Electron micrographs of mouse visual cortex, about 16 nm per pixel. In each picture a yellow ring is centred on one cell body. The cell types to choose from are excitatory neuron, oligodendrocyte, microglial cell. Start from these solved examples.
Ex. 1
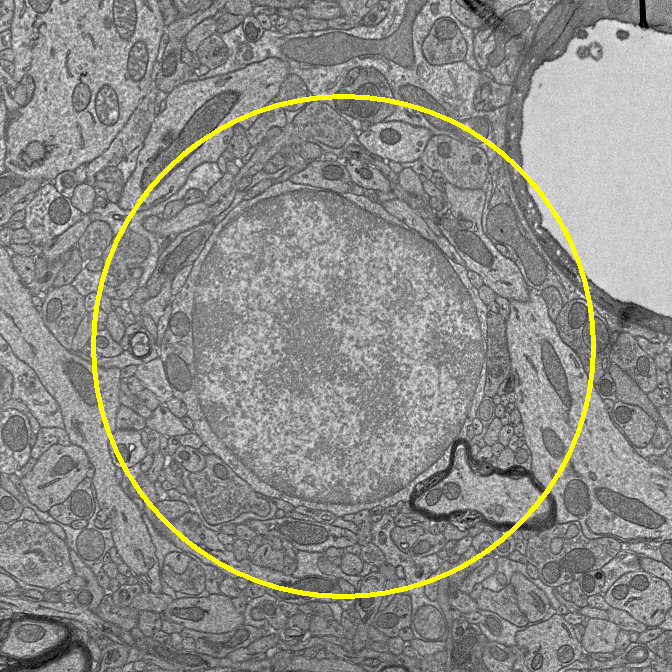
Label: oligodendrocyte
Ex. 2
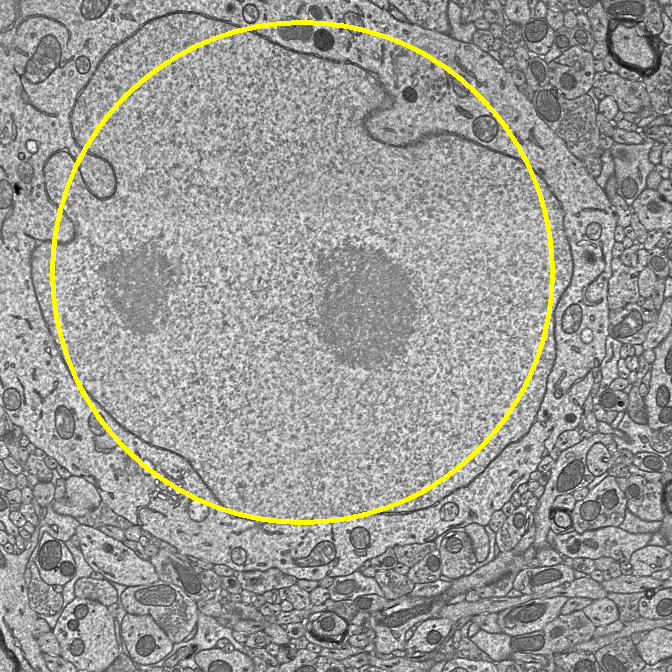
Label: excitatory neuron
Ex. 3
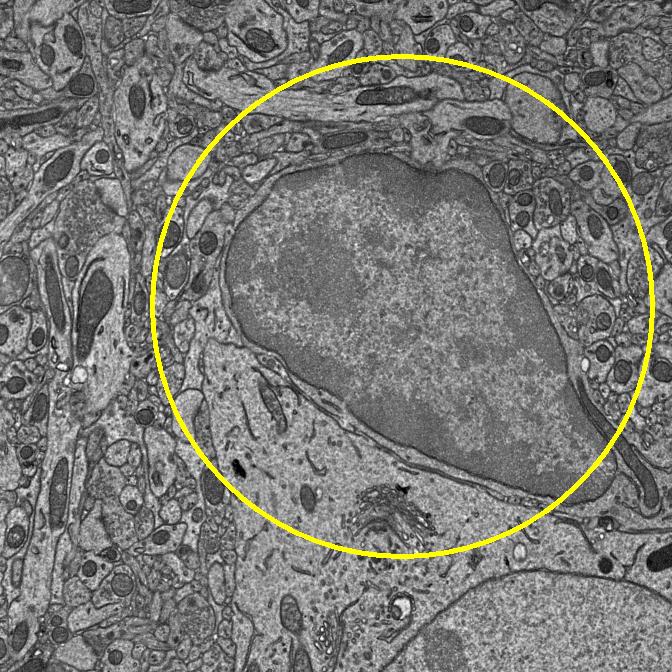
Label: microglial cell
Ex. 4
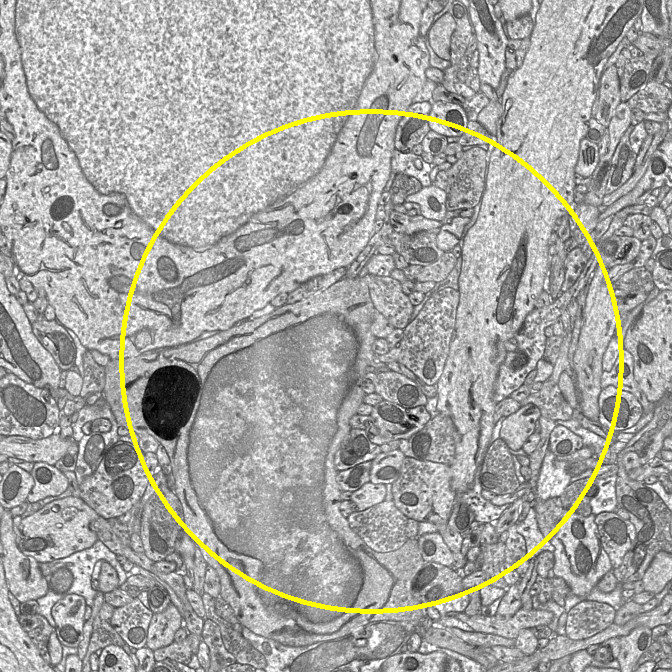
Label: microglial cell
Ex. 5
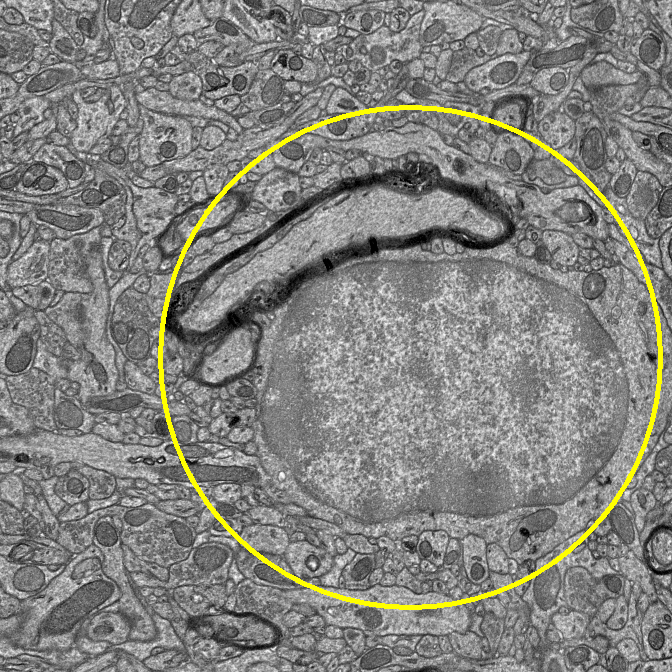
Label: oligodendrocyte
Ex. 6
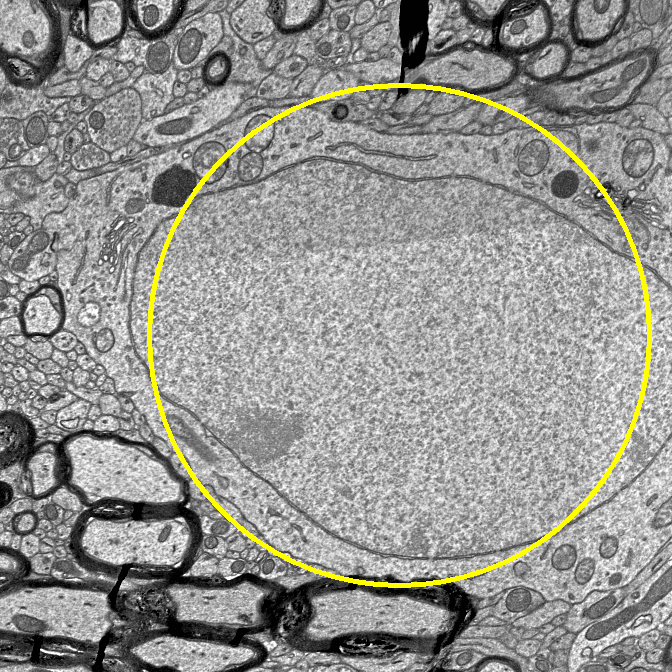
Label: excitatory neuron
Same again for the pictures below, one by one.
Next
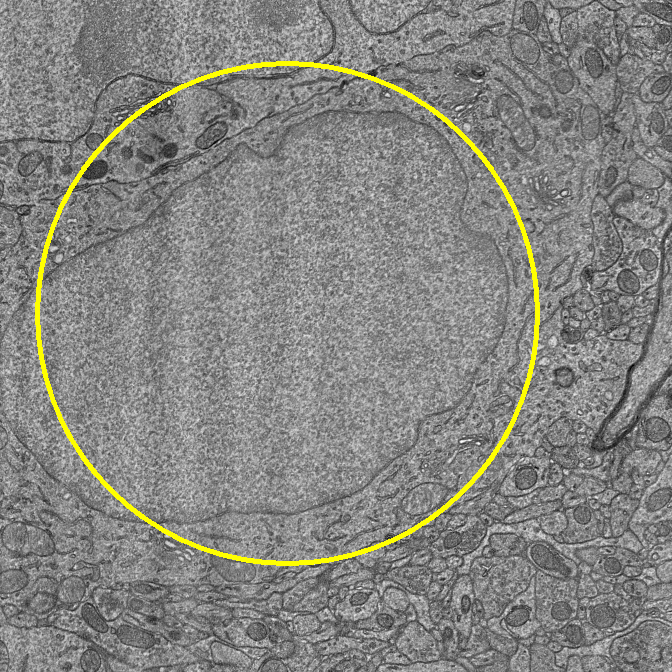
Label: oligodendrocyte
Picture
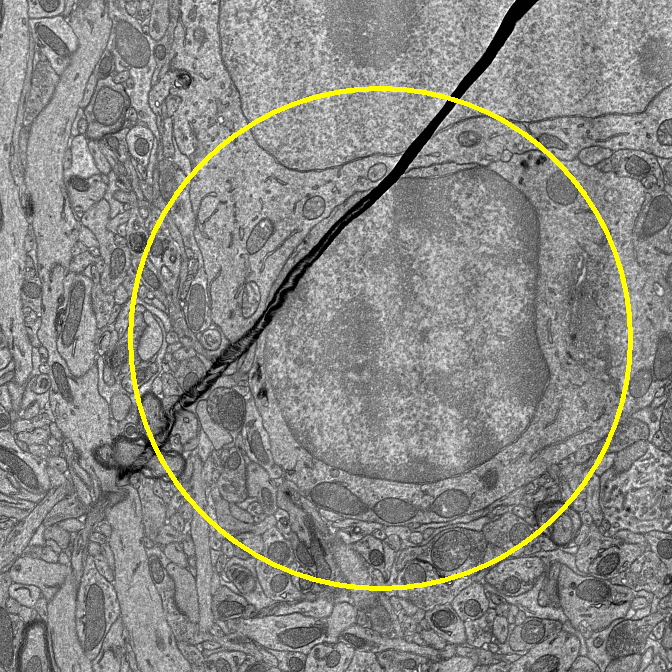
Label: oligodendrocyte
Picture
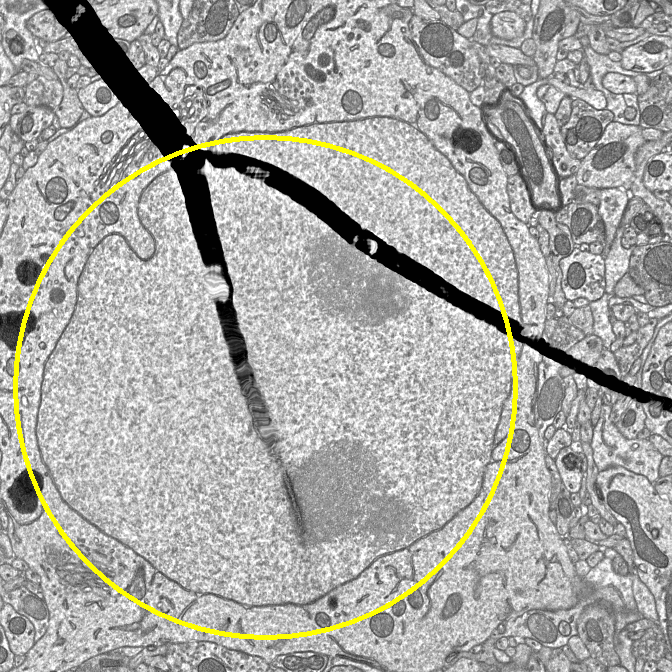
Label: excitatory neuron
